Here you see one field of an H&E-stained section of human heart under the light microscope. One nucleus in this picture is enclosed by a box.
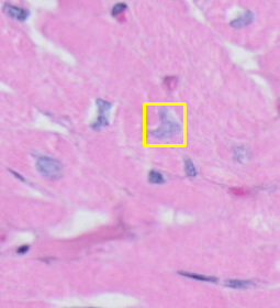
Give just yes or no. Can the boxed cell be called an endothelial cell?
no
